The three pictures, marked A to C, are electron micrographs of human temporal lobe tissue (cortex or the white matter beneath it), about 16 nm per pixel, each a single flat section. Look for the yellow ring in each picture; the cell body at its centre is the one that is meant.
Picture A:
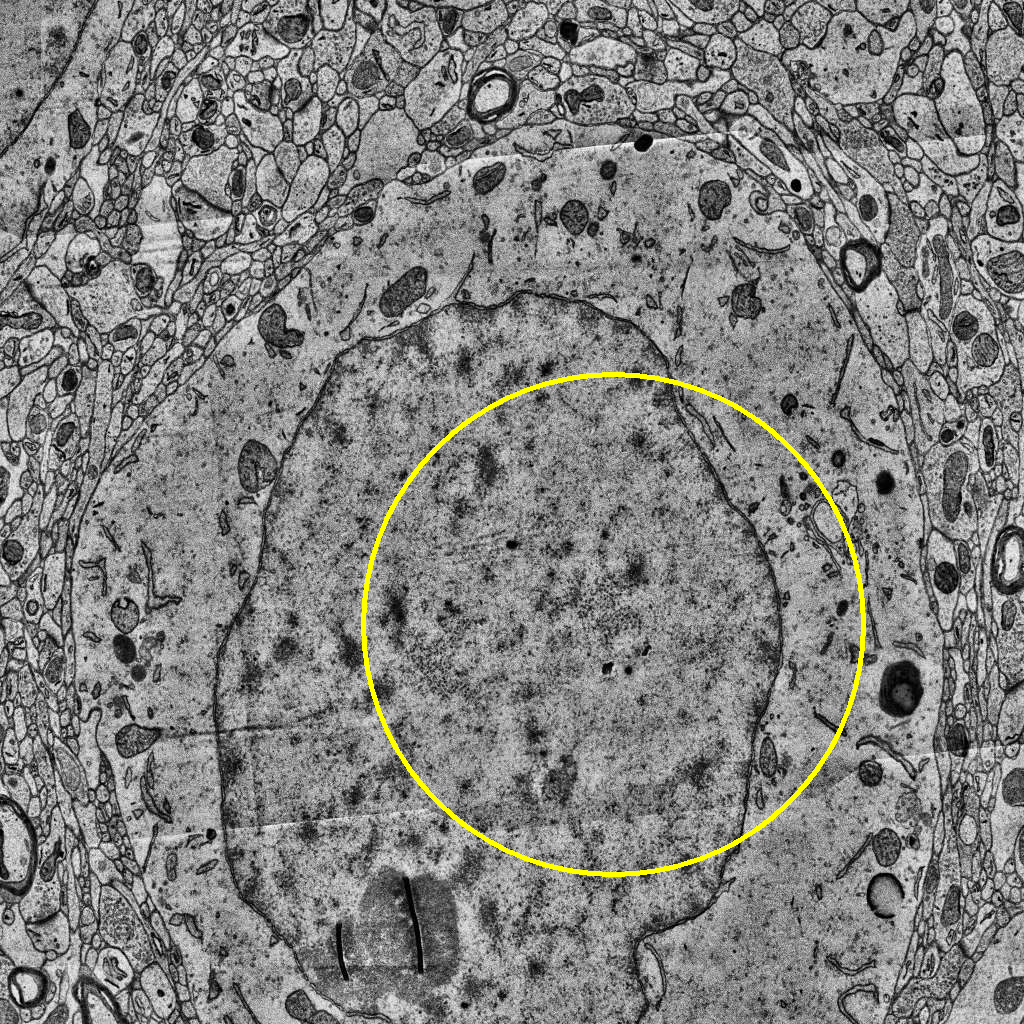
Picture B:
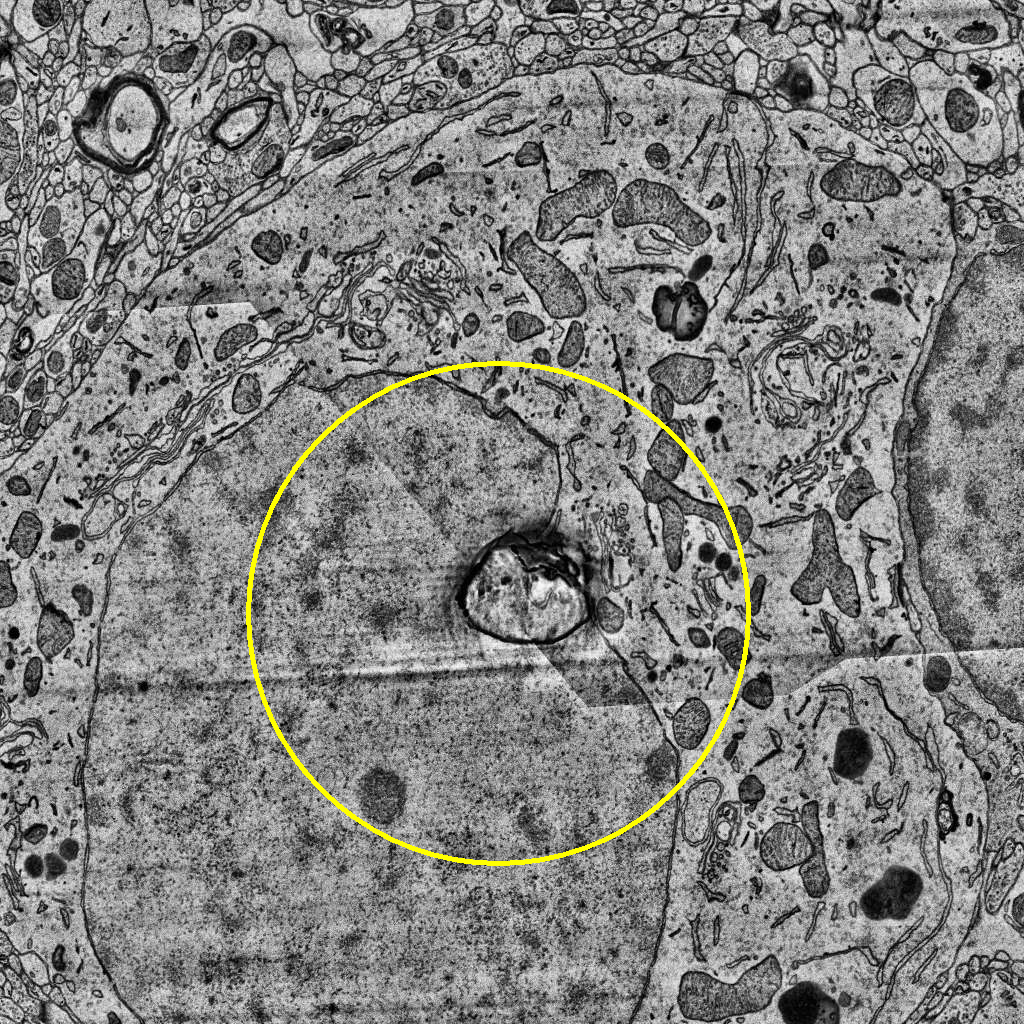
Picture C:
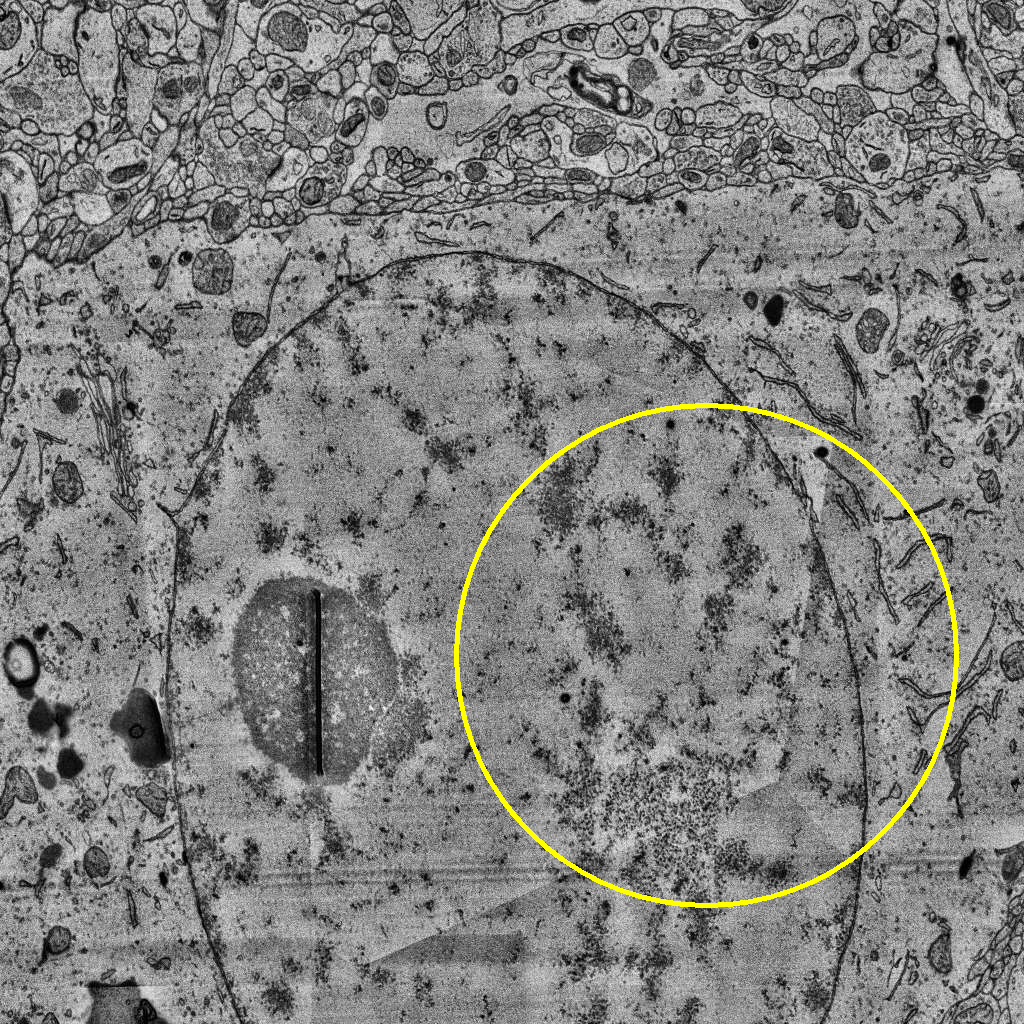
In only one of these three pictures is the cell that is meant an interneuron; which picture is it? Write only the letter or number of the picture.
B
